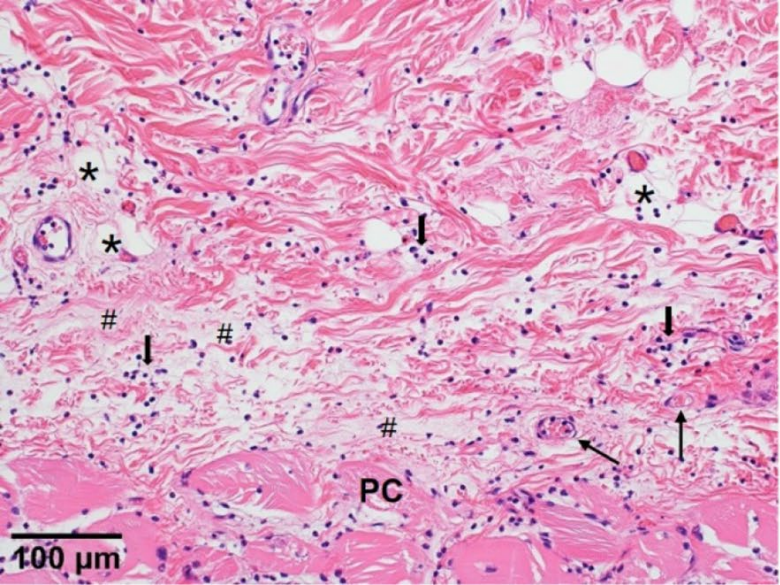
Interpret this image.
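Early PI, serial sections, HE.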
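Deep dermis and subcutis in a hematoxylin and eosin section, lying above a layer of skeletal muscle. The upper part shows dense, wavy pink collagen bundles. Below this, a broad pale band has thin, widely separated fibres with clear space between them, giving a loose, waterlogged look. Many small round dark-purple nuclei of inflammatory cells are scattered through the tissue and gather in small clusters. A few empty rounded spaces lie among the collagen, and small vessels with purple walls are seen in cross-section. At the bottom, bright pink muscle fibres cut across lie side by side with nuclei between them.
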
